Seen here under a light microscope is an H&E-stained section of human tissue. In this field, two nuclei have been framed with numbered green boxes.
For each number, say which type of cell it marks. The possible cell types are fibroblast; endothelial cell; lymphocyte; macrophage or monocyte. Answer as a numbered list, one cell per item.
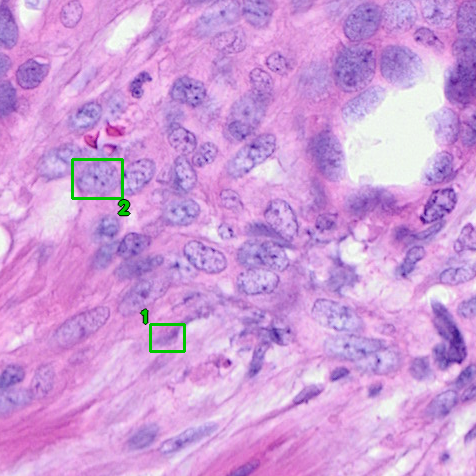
1. fibroblast
2. endothelial cell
